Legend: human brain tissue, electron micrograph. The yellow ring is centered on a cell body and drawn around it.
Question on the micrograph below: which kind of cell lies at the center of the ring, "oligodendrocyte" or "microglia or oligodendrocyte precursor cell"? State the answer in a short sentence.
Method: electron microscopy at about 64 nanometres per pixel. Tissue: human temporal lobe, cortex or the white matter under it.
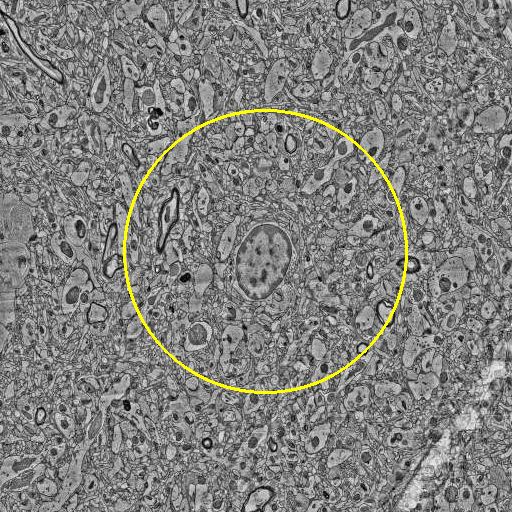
At the center of the ring lies a microglial cell or oligodendrocyte precursor cell.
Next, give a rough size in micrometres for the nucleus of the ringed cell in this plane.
In this plane, roughly 5 by 3 micrometres.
